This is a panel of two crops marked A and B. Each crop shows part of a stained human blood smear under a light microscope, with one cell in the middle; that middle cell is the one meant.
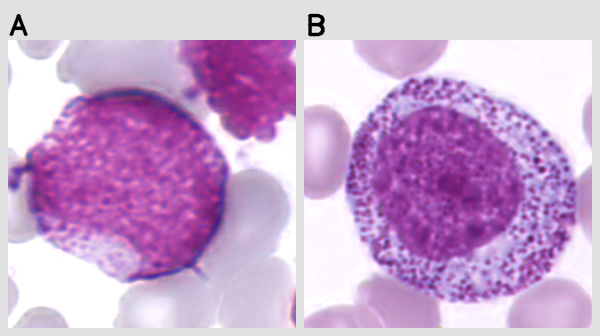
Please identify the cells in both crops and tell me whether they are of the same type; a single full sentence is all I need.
No, in fact crop A shows a promyelocyte, and crop B shows a myelocyte.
